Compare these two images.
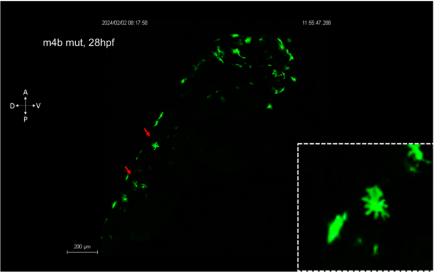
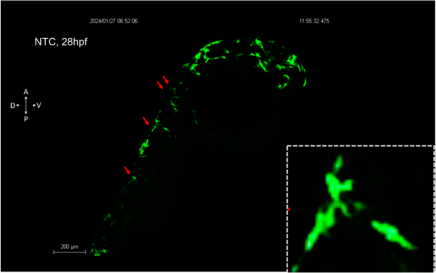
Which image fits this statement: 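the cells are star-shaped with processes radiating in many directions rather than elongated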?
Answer: The first image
